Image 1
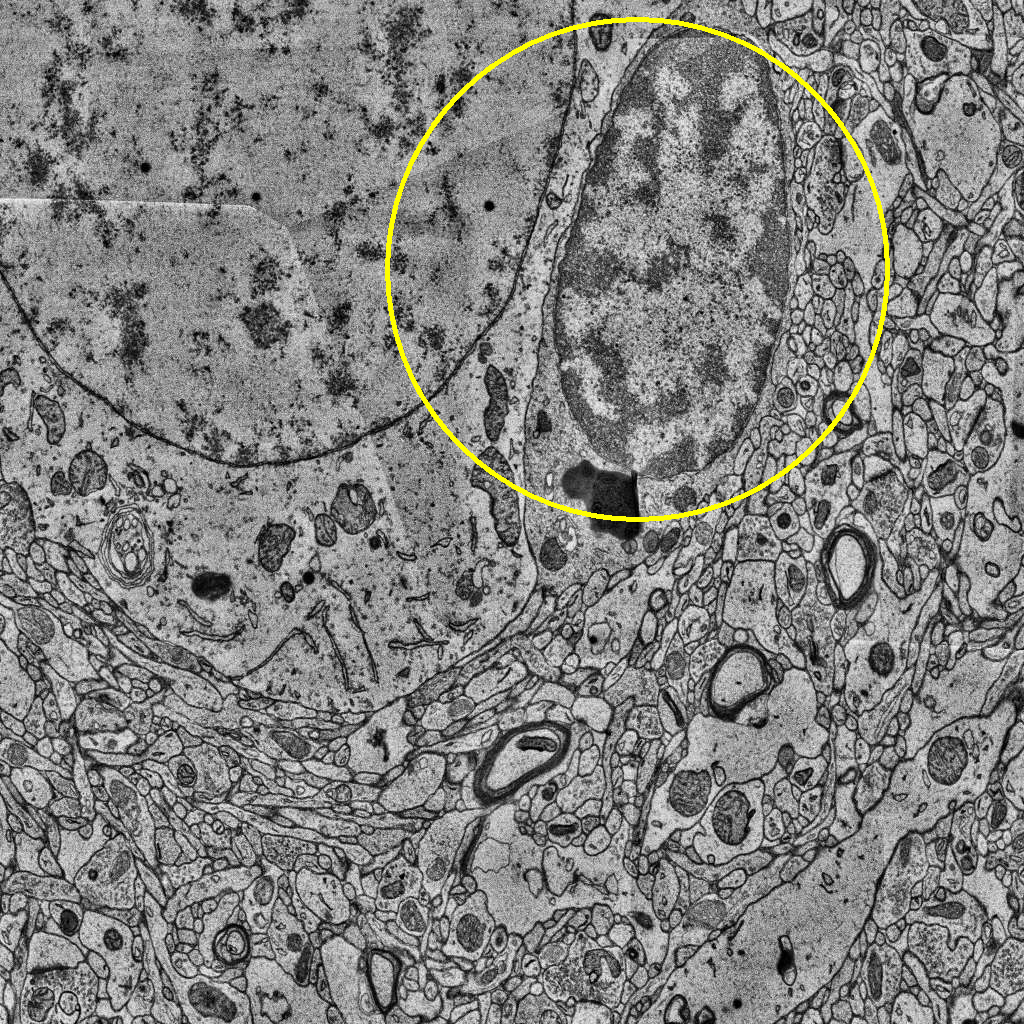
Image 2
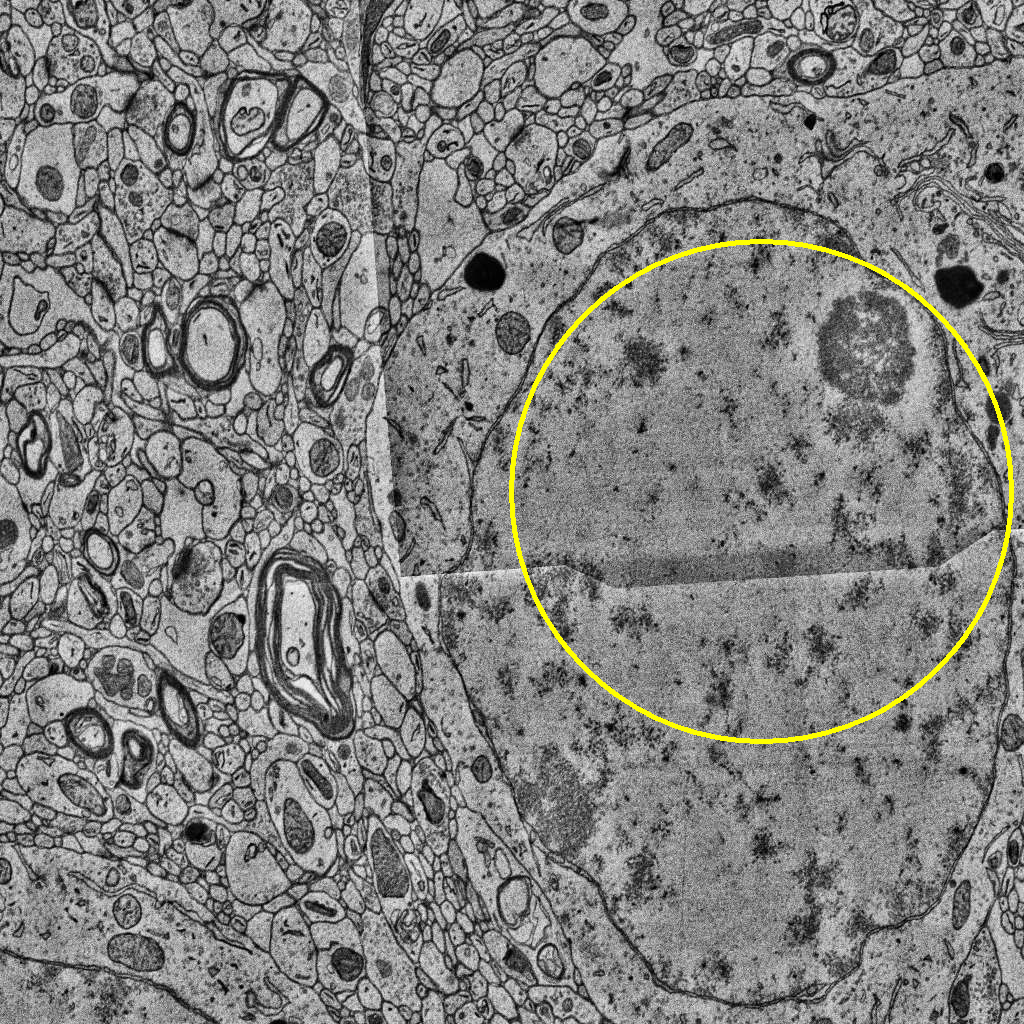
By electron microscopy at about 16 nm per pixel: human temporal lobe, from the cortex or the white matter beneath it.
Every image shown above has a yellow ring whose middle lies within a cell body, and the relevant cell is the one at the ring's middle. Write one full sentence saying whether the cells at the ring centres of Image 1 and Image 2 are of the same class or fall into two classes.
The cell at the ring's centre in Image 1 and its counterpart in Image 2 fall into two classes.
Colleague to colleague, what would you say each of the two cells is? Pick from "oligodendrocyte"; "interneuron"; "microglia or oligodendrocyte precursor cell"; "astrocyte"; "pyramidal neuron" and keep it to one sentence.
For the first picture it is an oligodendrocyte; for the second, a pyramidal neuron.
